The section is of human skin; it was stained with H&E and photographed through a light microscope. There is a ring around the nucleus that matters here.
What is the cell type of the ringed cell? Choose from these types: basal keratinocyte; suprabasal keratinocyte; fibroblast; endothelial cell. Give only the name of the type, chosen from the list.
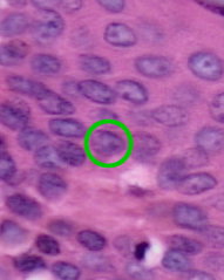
basal keratinocyte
